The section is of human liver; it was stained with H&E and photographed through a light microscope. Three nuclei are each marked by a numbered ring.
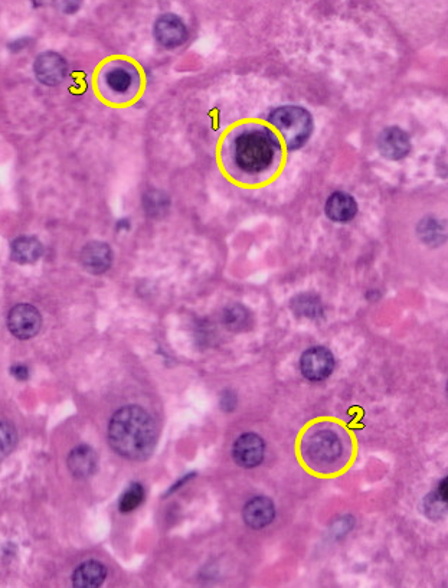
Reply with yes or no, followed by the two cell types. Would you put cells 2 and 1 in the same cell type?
Yes, both are hepatocytes.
